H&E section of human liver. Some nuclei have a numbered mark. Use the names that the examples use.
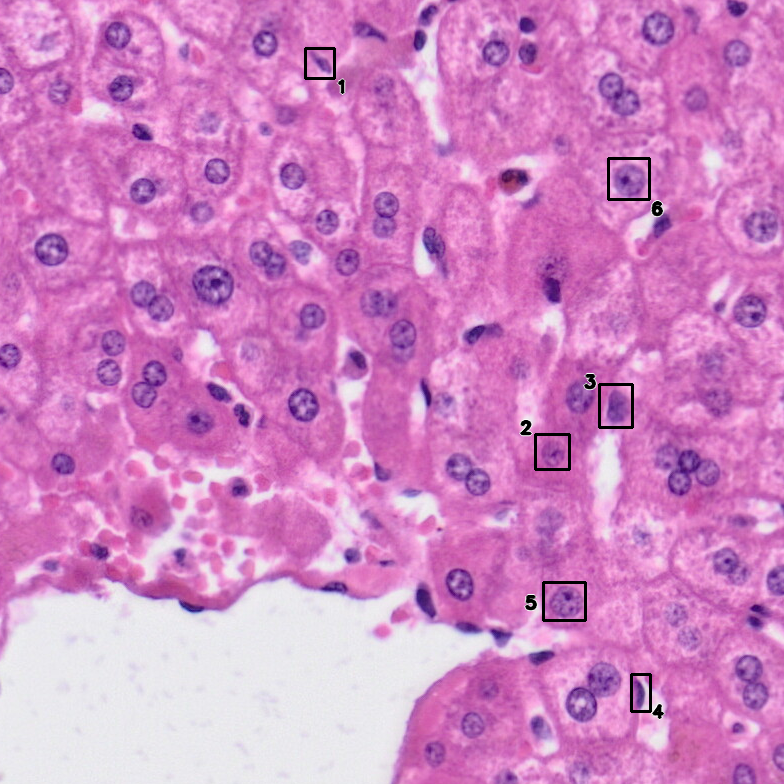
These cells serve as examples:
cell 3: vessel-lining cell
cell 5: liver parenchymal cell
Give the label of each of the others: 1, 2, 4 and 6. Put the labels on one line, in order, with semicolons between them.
vessel-lining cell; liver parenchymal cell; vessel-lining cell; liver parenchymal cell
